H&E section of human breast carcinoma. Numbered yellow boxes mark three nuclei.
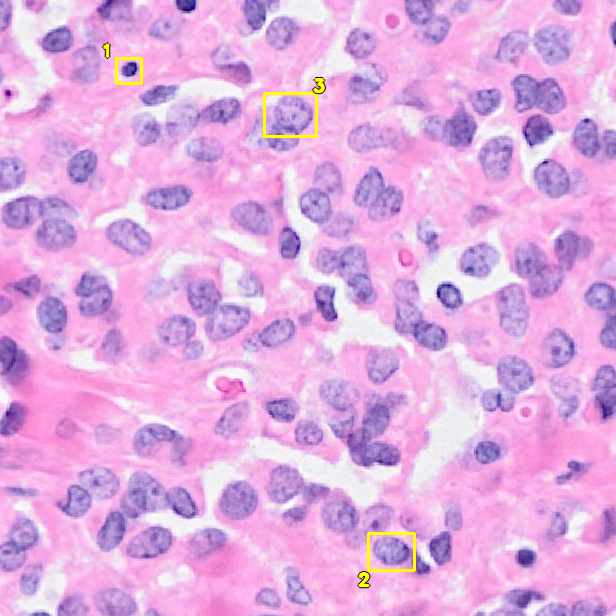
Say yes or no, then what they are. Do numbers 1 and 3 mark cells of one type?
No, with respect, cell 1 is a lymphocyte and cell 3 is a carcinoma cell.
